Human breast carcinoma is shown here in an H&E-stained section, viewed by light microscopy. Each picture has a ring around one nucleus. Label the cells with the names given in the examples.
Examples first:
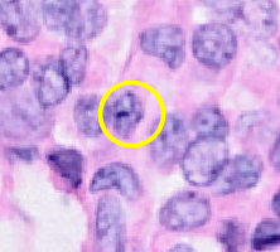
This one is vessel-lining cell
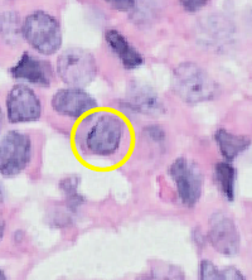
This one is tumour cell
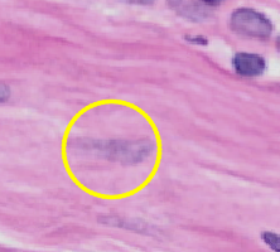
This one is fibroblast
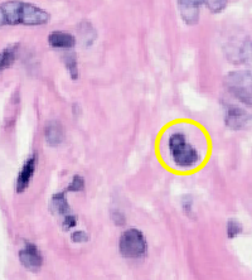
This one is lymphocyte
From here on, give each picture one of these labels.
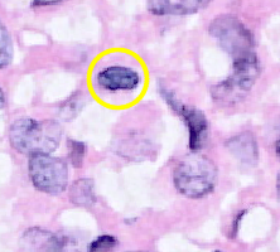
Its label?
lymphocyte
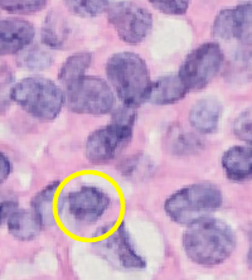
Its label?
tumour cell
